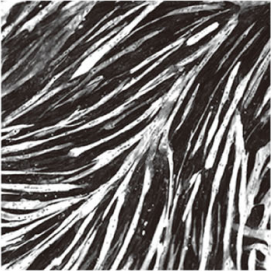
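Cultured myotubes appear as elongated bright white fibres on a dark background, densely packed and running mostly in parallel diagonal streams from lower left to upper right. Individual fibres are long and fairly slender, some tapering at their ends, with a few broader, brighter stretches. Small dark oval spots, consistent with unstained nuclei, lie in rows along the fibres. Dark gaps of varying width separate the fibres, and in places fibres overlap or cross one another at shallow angles.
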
